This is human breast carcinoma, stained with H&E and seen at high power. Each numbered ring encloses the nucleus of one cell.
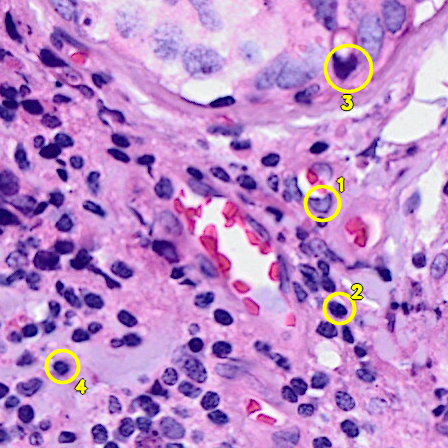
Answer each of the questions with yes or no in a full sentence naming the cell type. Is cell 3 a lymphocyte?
No, the cell tagged 3 is a carcinoma cell, and not a lymphocyte.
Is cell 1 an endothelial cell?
Yes, exactly, the cell numbered 1 is an endothelial cell.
